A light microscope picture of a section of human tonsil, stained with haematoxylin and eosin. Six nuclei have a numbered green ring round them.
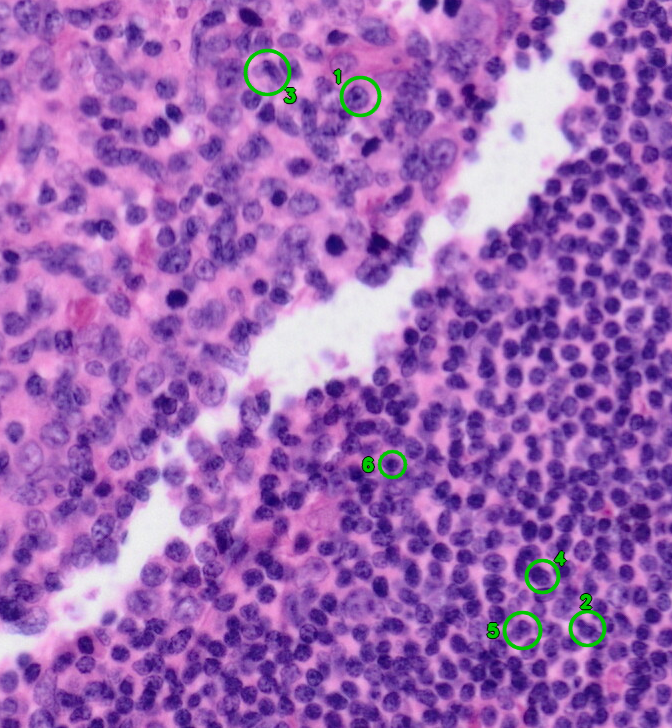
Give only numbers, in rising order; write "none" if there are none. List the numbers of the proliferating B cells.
1, 3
